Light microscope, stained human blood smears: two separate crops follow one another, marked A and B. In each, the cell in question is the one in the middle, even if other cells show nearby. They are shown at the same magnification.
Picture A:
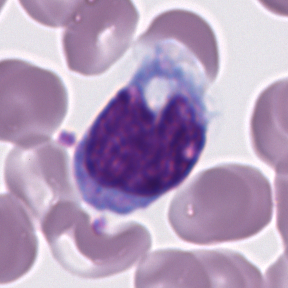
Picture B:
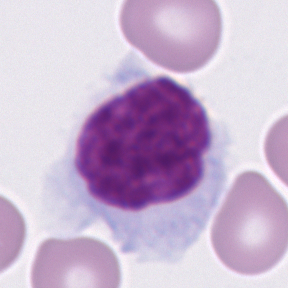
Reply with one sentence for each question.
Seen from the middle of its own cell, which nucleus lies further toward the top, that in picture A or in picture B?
Seen within its cell, the nucleus in picture B lies further toward the top.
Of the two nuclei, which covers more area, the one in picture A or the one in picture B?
It is the nucleus in picture B, about 1.5 times as large in area as the one in picture A.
